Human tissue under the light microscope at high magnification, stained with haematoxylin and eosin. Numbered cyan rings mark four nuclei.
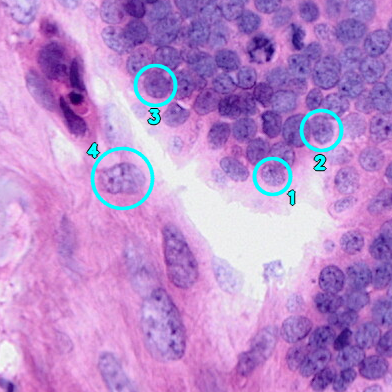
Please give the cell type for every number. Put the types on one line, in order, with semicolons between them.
carcinoma cell; carcinoma cell; carcinoma cell; fibroblast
